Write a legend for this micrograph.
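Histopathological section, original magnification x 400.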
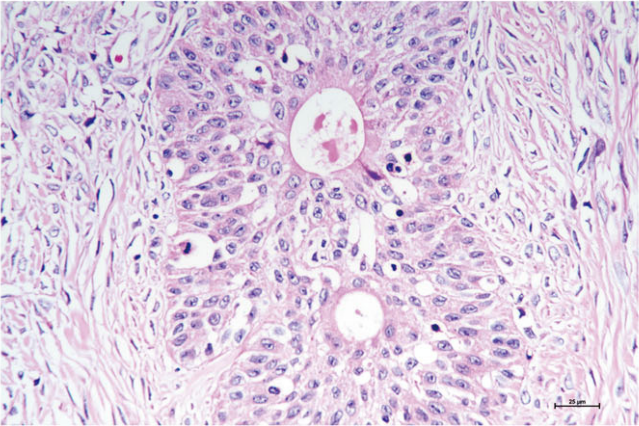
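An epithelial island of urothelium-like cells lies in fibrous stroma of spindle cells. Within the island are round cavities, the largest containing loose pink material; smaller clear spaces are scattered among the cells. The epithelial cells have oval nuclei and pink to pale cytoplasm, and many are elongated and arranged radially around the central cavity. The surrounding stroma is loose with wavy pink fibres and elongated nuclei.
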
